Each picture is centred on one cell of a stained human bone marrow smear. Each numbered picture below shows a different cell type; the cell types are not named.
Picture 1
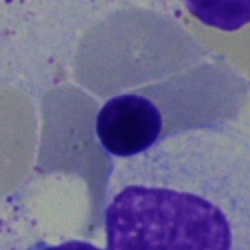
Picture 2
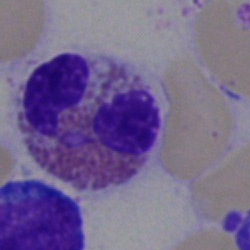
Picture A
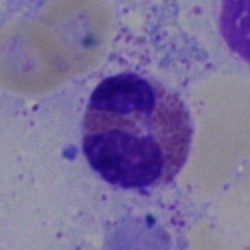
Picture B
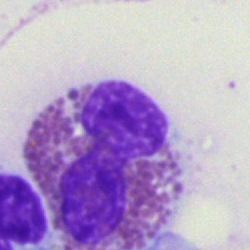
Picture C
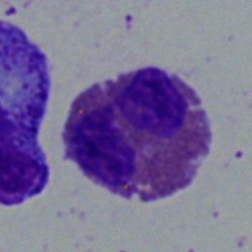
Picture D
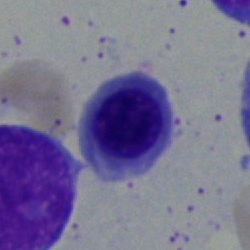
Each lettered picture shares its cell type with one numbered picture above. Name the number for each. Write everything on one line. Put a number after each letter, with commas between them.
A 2, B 2, C 2, D 1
